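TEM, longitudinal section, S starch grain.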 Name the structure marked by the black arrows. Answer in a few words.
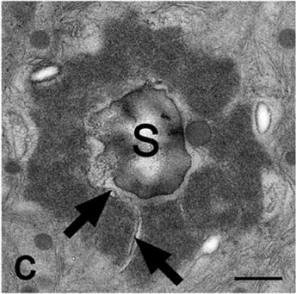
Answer: thylakoid membranes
